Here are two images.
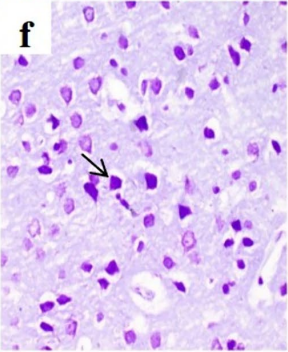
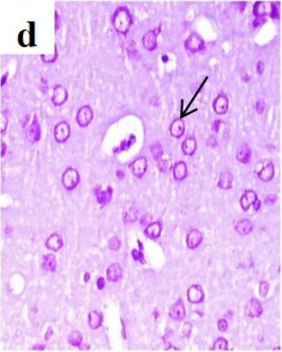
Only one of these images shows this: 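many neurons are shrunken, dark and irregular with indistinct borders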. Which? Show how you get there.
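The first image. First image: many small angular cells stained deep violet with no visible nucleus. Second image: most neurons are round with a pale spherical nucleus and a clear outline.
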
